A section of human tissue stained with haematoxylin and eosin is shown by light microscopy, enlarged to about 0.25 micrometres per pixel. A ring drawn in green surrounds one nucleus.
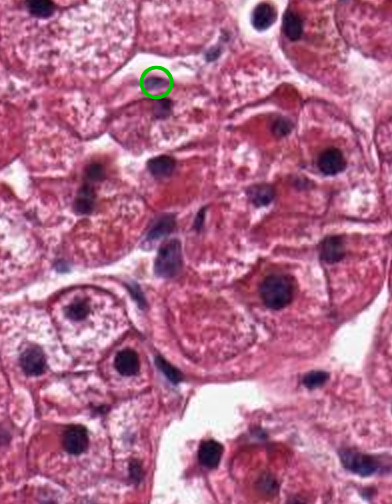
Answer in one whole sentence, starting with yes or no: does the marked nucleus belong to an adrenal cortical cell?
No, the marked nucleus is part of a supporting cell and does not belong to an adrenal cortical cell.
